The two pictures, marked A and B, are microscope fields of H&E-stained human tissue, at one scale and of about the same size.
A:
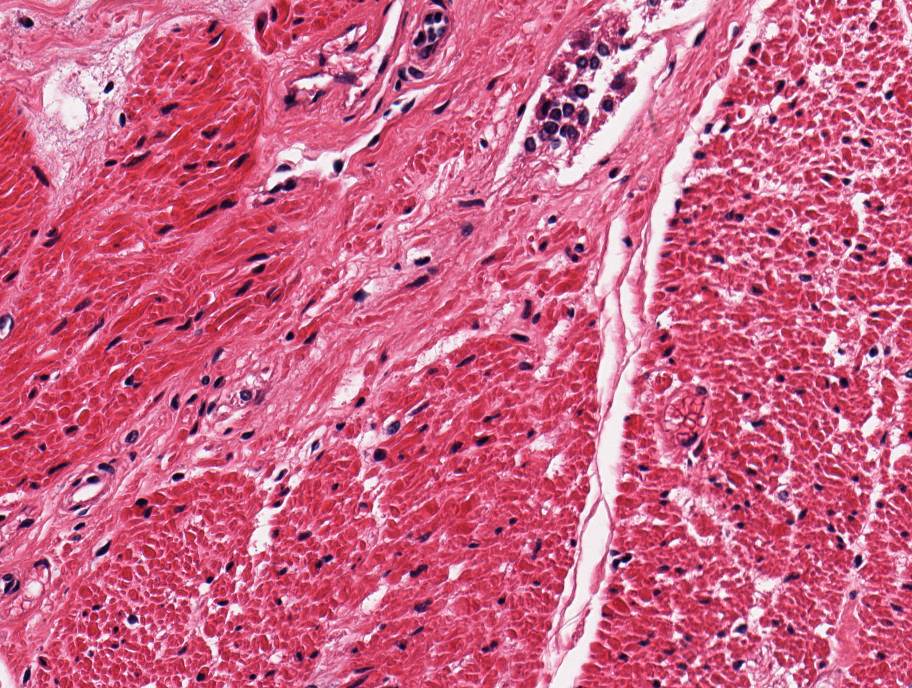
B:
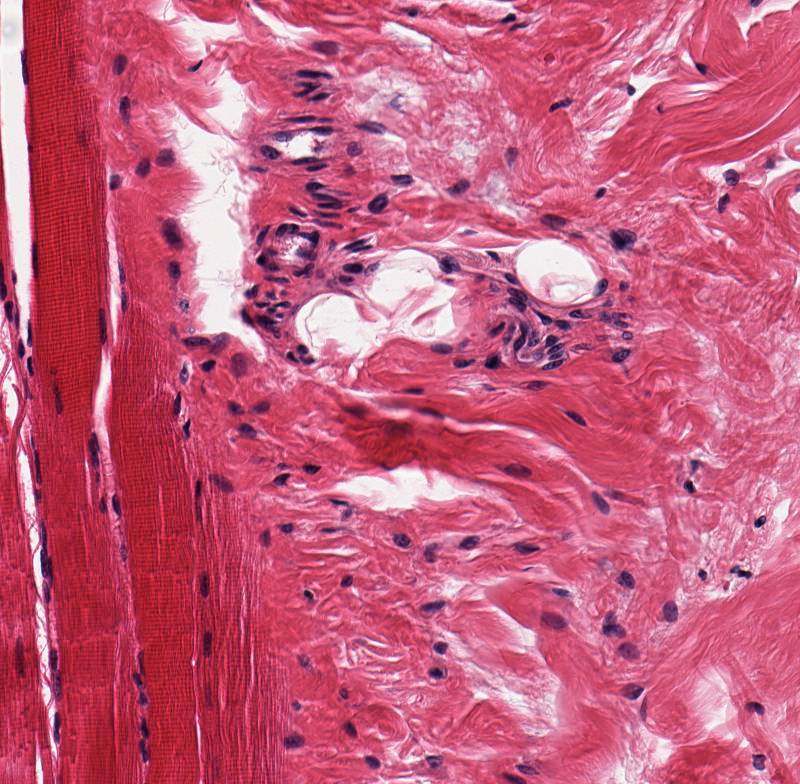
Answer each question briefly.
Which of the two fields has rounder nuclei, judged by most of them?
A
